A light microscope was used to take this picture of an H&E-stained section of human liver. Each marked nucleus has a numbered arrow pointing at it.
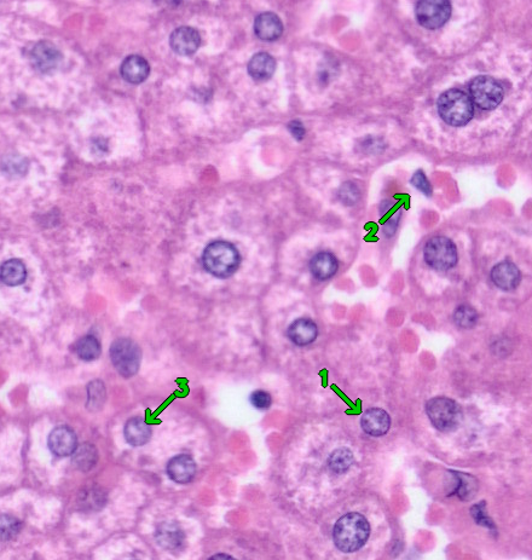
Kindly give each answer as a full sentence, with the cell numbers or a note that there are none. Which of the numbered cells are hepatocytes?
Cells numbered 1 and 3 belong to the group of hepatocytes.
